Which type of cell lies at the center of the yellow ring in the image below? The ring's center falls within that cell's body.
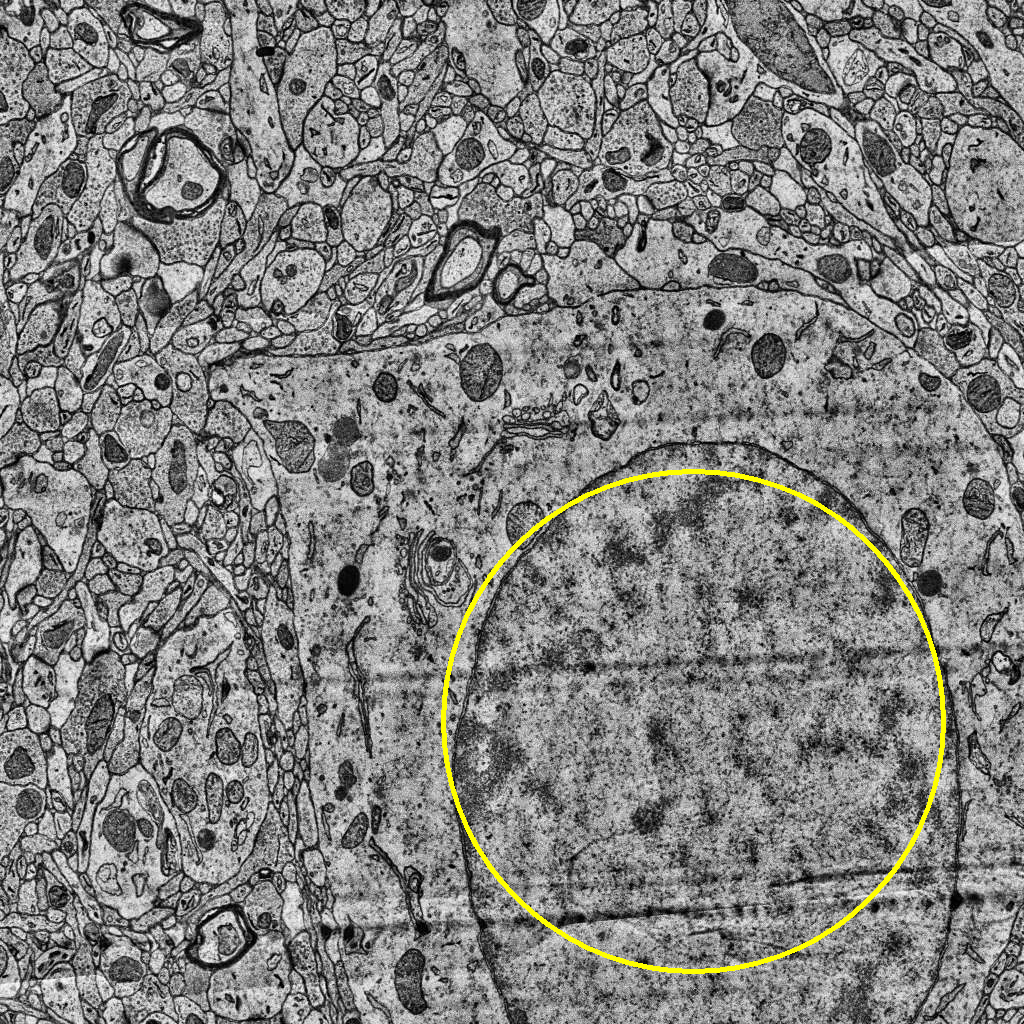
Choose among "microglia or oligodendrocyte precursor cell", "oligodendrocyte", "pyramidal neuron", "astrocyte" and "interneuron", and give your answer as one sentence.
The cell body at the center belongs to a pyramidal neuron.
